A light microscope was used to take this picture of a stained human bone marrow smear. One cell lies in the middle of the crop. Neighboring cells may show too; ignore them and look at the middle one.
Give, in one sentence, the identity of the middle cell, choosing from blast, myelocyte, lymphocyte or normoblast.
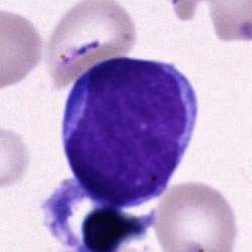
Within this crop, a blast occupies the central position.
